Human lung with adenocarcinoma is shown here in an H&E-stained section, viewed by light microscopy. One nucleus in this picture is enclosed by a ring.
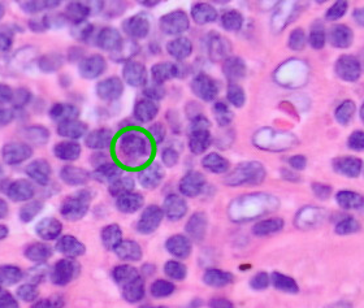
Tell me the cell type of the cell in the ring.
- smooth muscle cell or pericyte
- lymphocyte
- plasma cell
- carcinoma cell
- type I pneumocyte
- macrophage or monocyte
lymphocyte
